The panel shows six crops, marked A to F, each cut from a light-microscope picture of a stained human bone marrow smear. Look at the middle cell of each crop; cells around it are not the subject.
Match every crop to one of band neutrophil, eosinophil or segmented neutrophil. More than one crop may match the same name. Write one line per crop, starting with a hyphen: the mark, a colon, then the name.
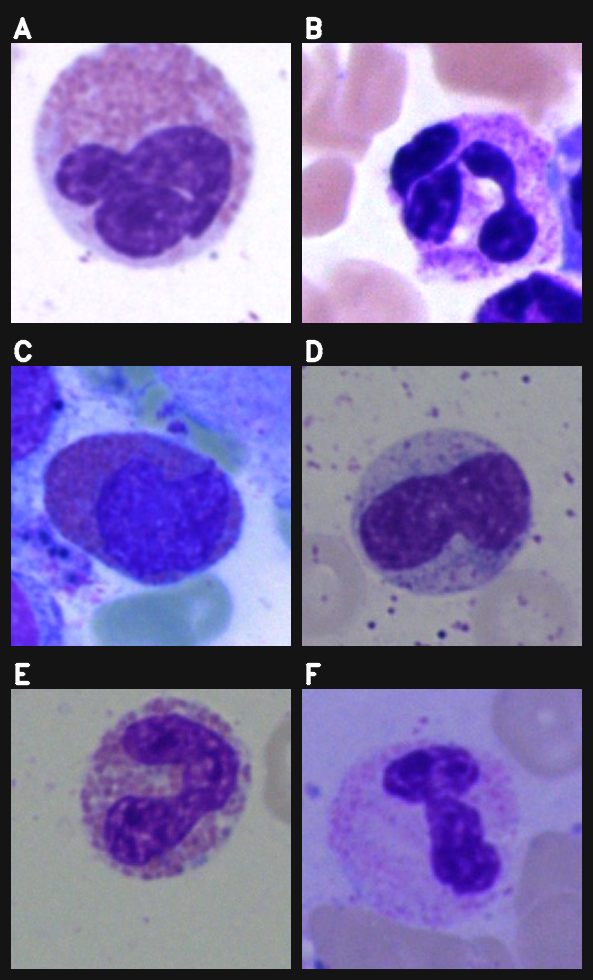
- A: eosinophil
- B: segmented neutrophil
- C: eosinophil
- D: band neutrophil
- E: eosinophil
- F: segmented neutrophil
